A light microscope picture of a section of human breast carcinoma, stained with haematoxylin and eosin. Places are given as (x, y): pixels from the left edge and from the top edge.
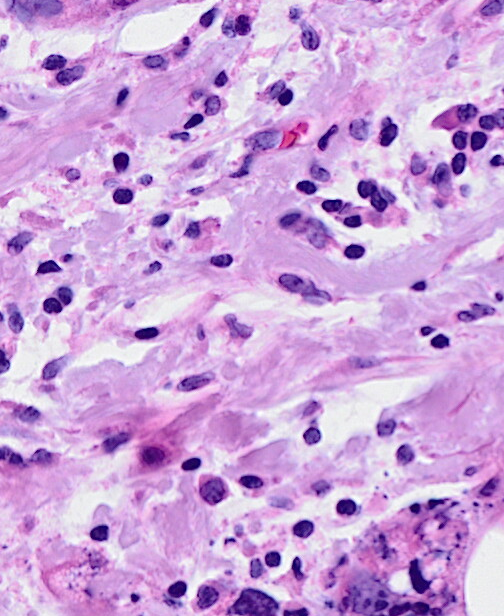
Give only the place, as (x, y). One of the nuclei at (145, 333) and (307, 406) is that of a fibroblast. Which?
(307, 406)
